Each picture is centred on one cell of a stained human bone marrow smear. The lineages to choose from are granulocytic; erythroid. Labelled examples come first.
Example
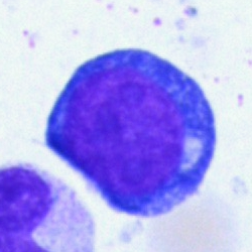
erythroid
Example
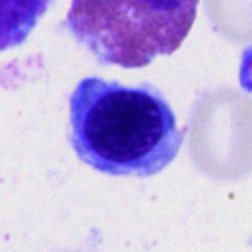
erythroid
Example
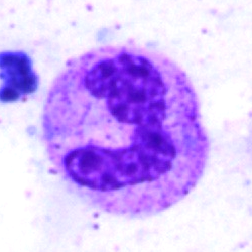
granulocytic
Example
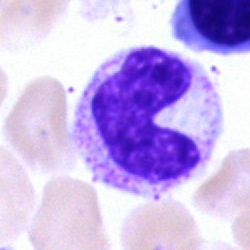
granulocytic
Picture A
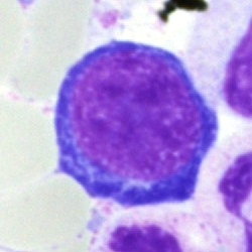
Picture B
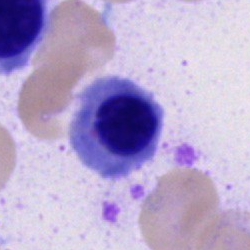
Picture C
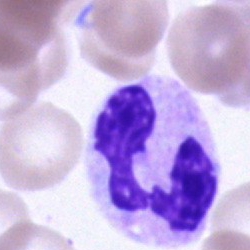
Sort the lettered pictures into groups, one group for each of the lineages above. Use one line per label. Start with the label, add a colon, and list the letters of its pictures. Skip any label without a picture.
granulocytic: C
erythroid: A, B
